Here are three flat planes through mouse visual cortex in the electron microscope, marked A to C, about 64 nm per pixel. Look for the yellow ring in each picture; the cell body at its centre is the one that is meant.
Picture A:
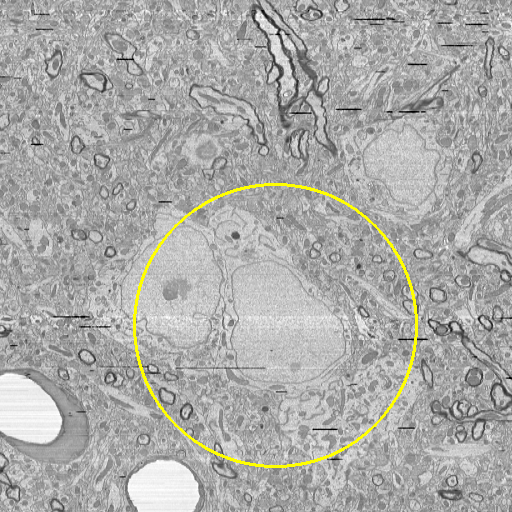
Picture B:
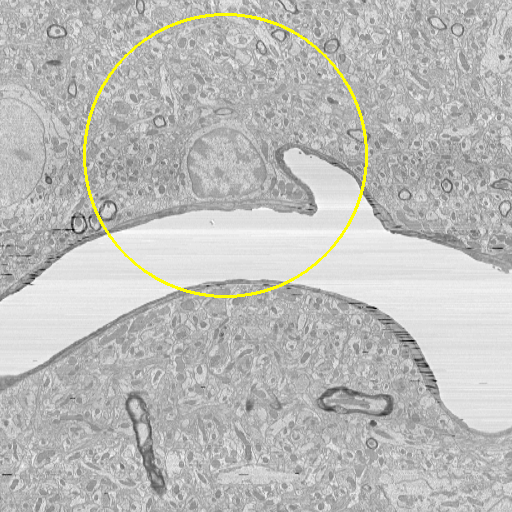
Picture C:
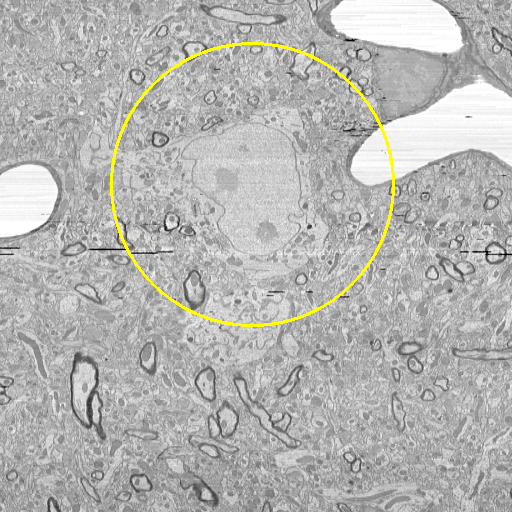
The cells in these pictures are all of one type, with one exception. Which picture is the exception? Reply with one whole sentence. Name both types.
Picture B differs, because its cell is an oligodendrocyte and the rest are excitatory neurons.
